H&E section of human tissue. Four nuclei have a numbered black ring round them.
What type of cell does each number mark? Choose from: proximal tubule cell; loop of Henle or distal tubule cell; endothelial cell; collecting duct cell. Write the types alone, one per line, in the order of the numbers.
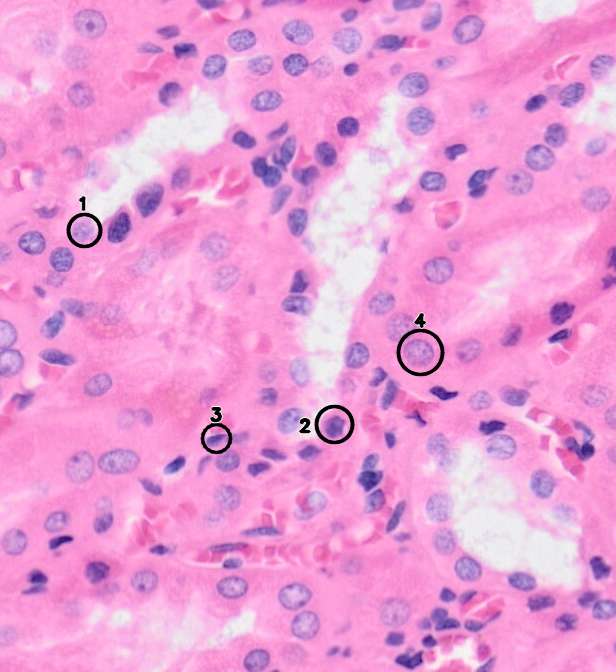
loop of Henle or distal tubule cell
loop of Henle or distal tubule cell
endothelial cell
proximal tubule cell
